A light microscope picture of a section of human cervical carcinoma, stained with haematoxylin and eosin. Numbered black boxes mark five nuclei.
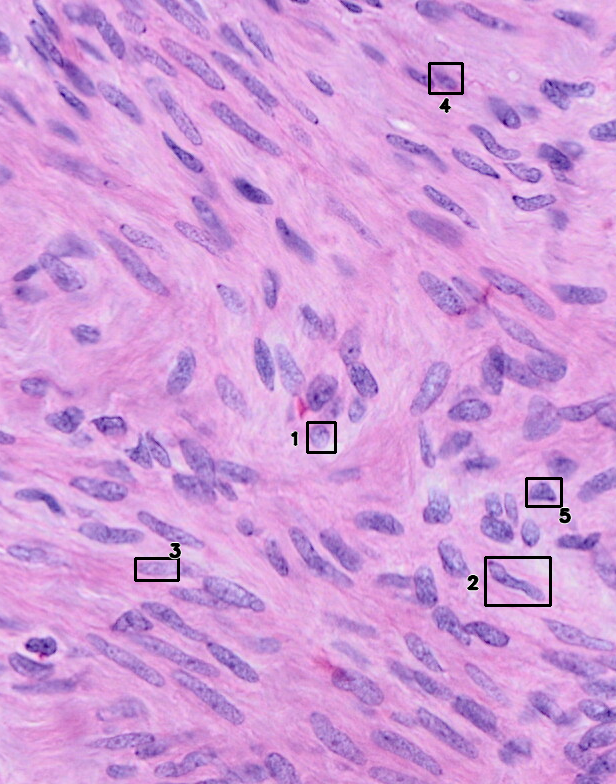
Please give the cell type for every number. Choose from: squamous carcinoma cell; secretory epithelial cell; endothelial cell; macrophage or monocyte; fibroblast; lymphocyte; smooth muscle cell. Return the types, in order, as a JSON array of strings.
["endothelial cell", "smooth muscle cell", "smooth muscle cell", "smooth muscle cell", "fibroblast"]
